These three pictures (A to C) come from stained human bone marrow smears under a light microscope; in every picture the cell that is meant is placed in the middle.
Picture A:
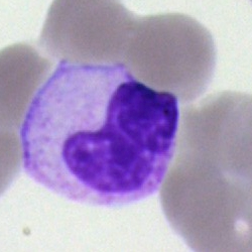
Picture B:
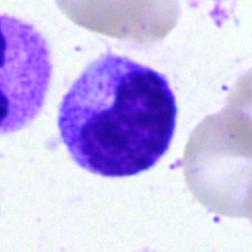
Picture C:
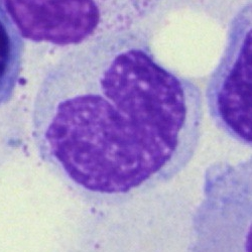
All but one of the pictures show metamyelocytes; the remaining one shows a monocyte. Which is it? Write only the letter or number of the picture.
C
